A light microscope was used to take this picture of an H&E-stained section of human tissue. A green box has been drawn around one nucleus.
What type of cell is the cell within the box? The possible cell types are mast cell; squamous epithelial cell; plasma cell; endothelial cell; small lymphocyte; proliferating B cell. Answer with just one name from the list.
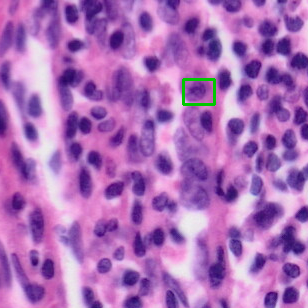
endothelial cell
